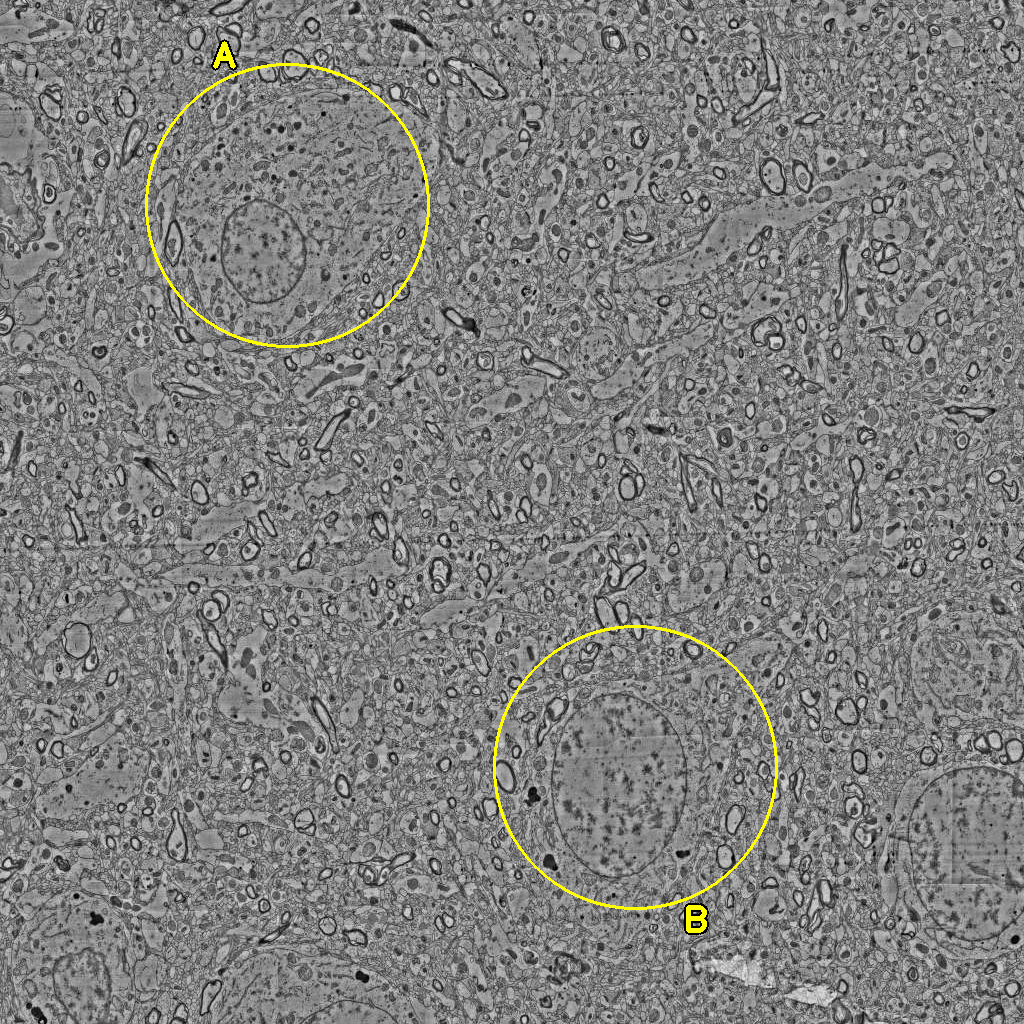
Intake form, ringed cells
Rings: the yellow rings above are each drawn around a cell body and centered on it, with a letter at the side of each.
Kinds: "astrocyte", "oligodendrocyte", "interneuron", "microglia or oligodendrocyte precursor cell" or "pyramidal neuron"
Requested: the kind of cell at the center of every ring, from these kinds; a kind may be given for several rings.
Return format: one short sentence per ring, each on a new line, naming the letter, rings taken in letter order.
In the center of ring A there is a pyramidal neuron.
In the center of ring B there is a pyramidal neuron.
